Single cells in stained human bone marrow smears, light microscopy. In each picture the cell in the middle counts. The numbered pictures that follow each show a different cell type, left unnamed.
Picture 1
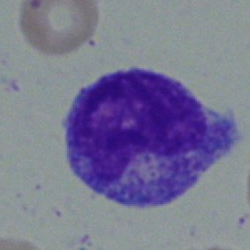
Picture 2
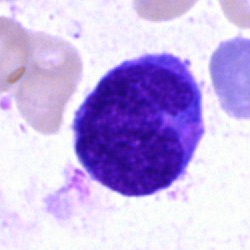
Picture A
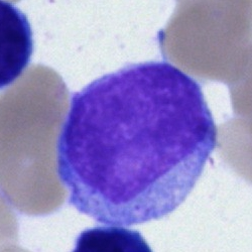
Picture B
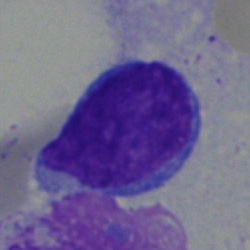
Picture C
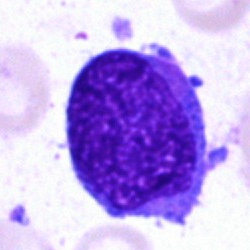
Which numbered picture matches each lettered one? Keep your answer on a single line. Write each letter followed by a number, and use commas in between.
A 2, B 2, C 2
